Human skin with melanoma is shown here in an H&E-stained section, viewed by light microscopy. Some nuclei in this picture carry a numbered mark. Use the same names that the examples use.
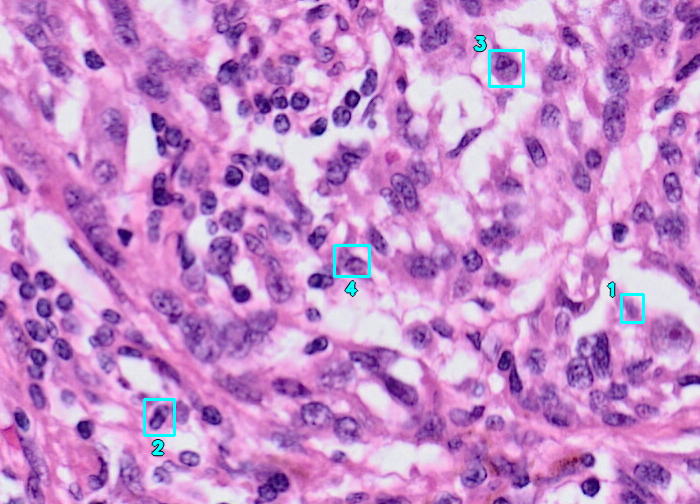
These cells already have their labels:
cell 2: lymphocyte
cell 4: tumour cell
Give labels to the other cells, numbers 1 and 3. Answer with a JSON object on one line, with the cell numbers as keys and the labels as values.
{"1": "tumour cell", "3": "tumour cell"}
